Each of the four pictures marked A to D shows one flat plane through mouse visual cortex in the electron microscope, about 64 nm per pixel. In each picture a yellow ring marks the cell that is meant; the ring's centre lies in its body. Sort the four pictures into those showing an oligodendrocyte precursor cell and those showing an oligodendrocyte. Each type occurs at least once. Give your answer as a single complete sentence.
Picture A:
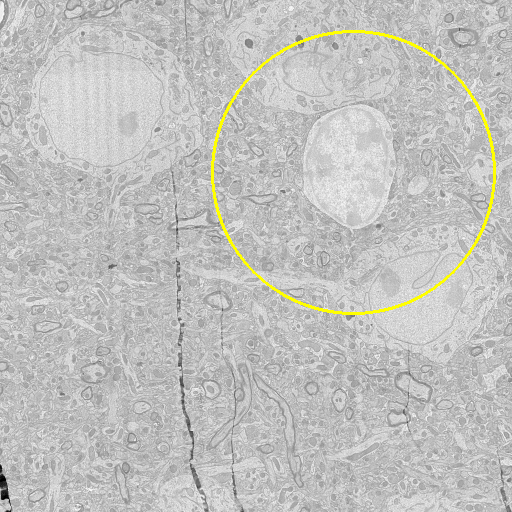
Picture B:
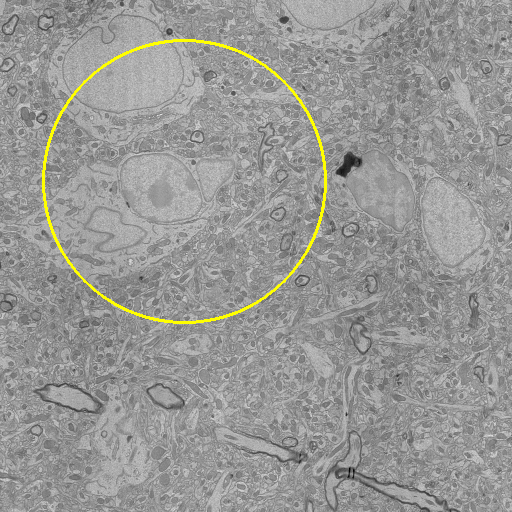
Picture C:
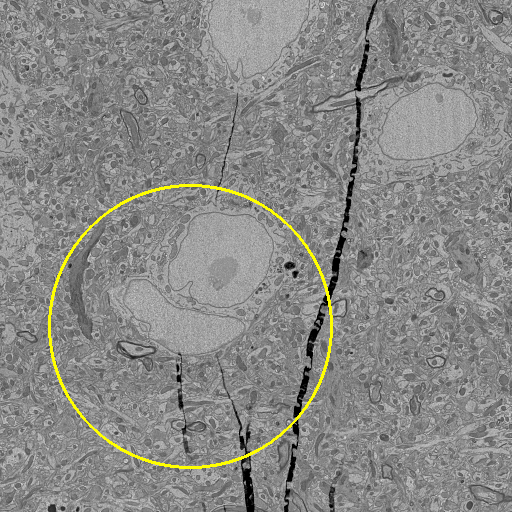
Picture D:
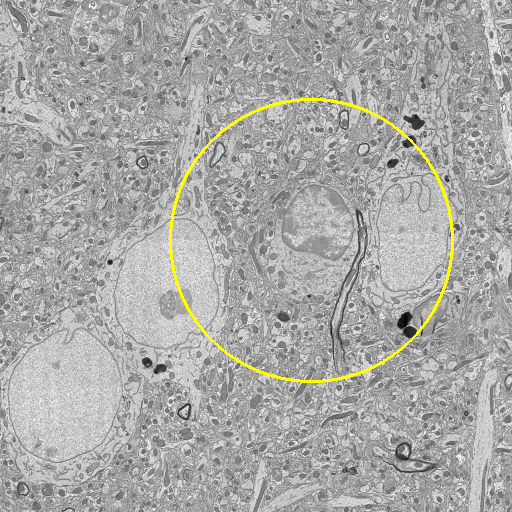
Pictures B and C show oligodendrocyte precursor cells, while pictures A and D show oligodendrocytes.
